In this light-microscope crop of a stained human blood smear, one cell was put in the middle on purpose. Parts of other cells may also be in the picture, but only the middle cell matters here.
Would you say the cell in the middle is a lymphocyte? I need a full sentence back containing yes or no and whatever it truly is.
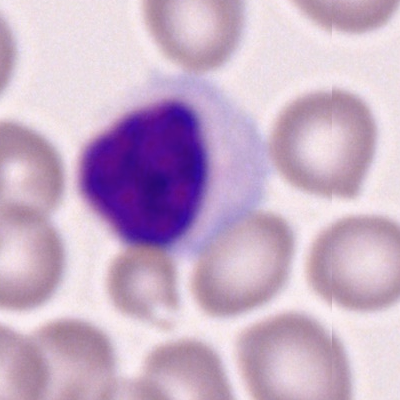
Yes, the centre of the crop holds a lymphocyte.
